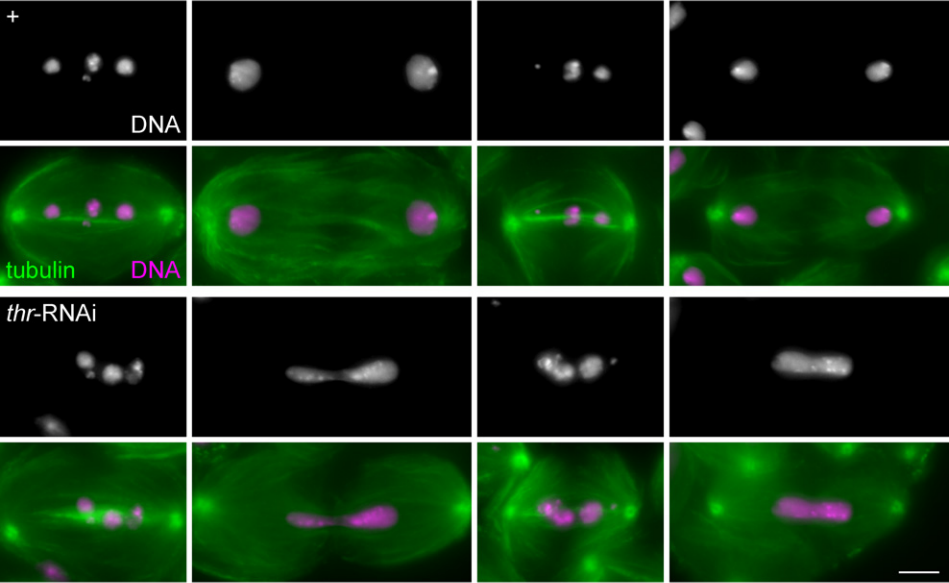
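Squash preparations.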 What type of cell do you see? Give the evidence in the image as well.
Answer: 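Condensed chromosomes lie on the spindle or at its poles. The answer: spermatocytes.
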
